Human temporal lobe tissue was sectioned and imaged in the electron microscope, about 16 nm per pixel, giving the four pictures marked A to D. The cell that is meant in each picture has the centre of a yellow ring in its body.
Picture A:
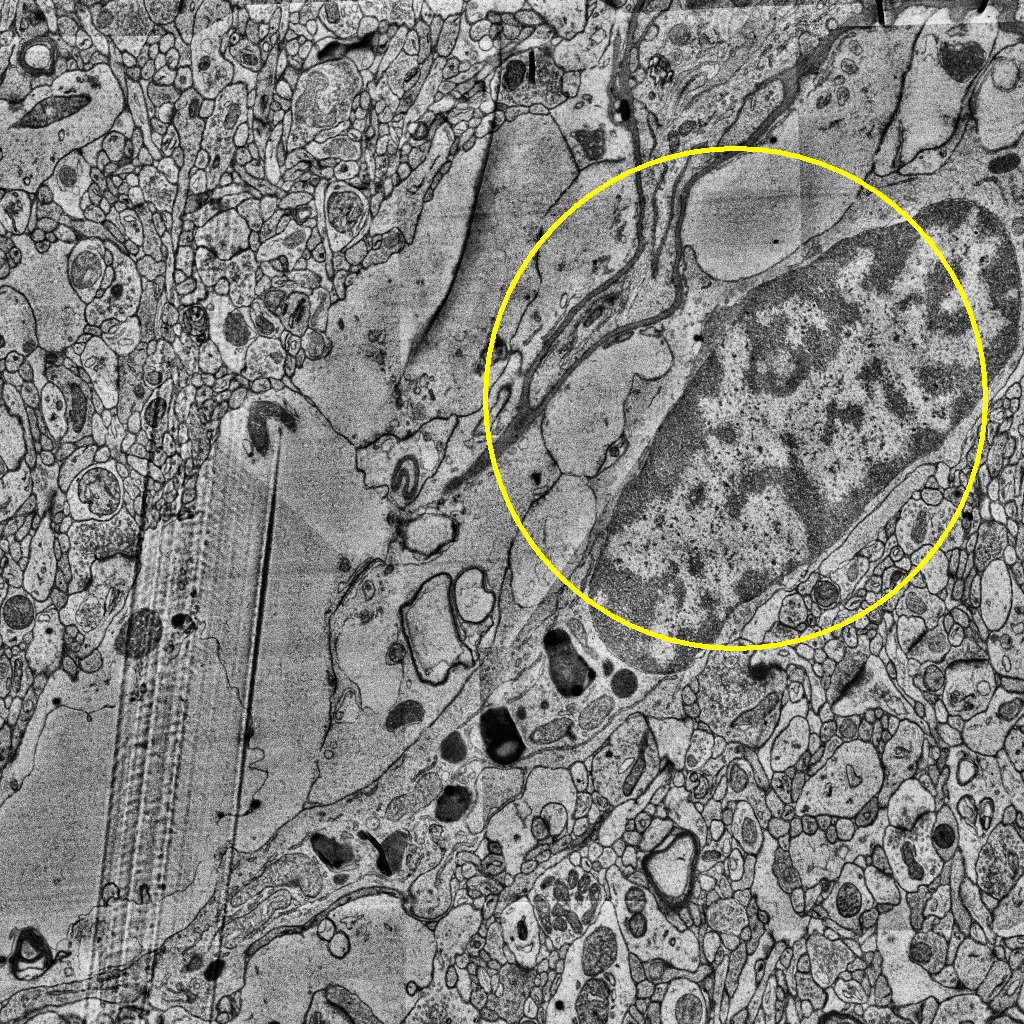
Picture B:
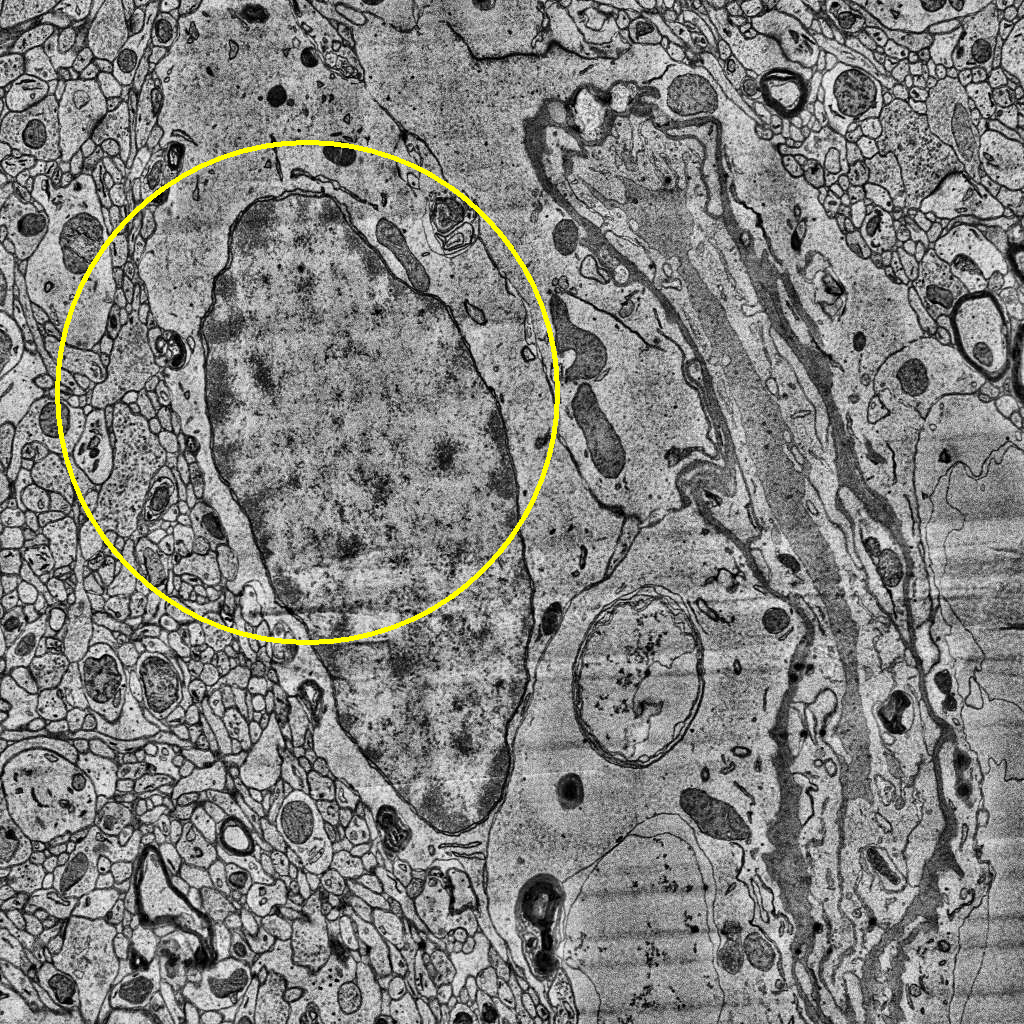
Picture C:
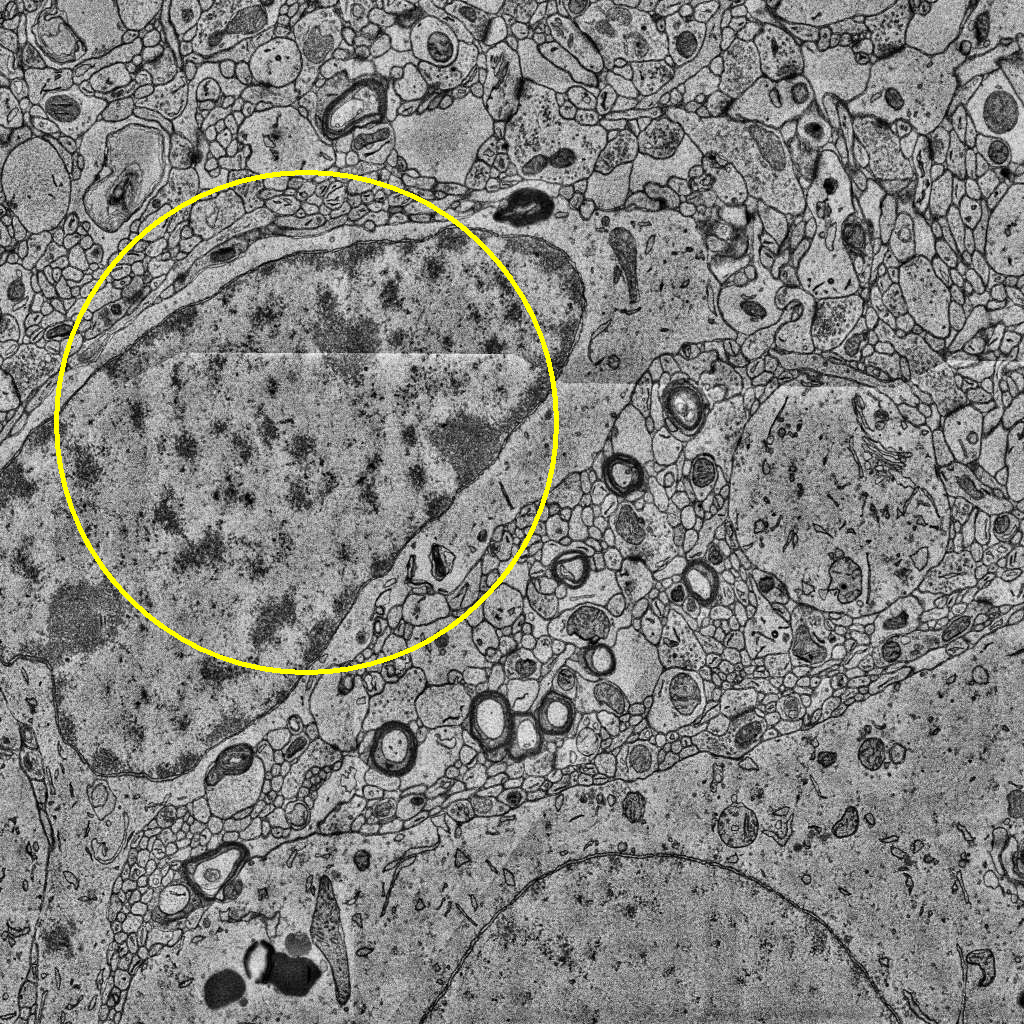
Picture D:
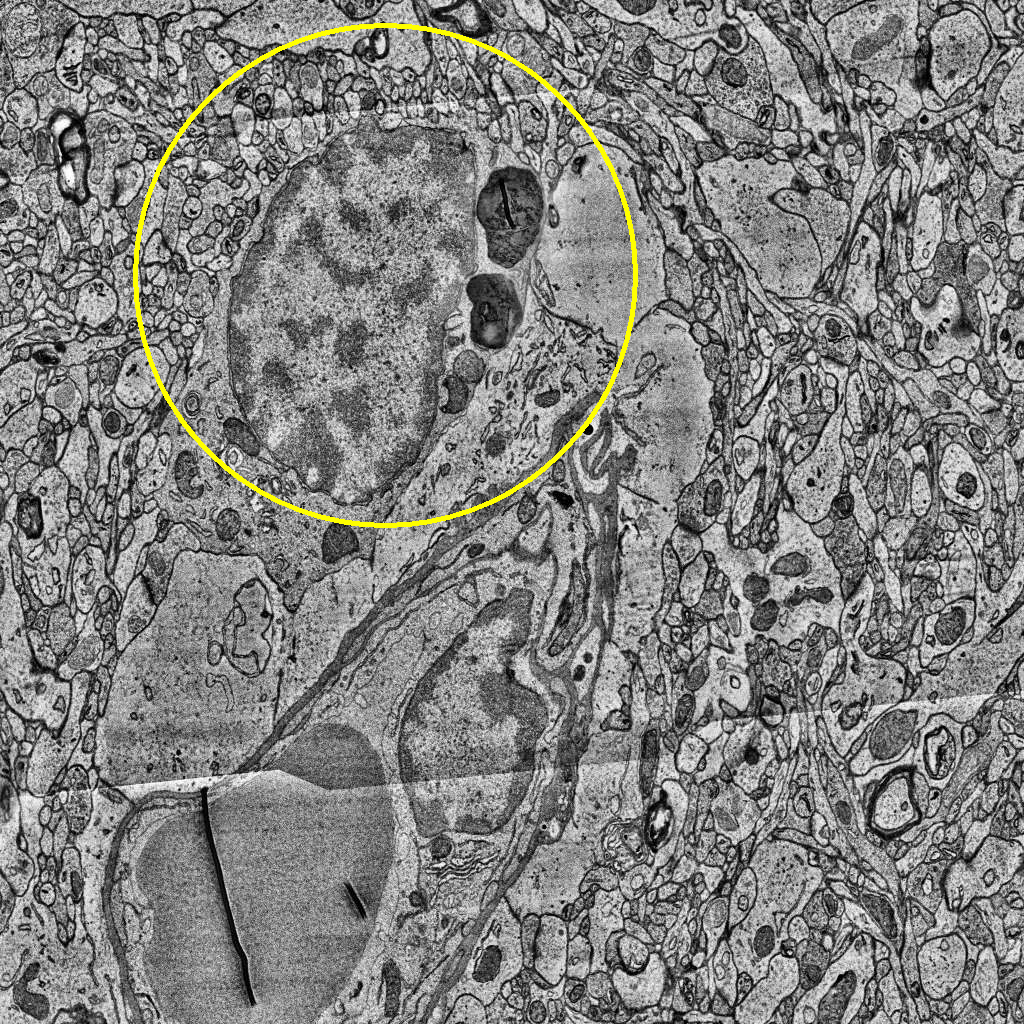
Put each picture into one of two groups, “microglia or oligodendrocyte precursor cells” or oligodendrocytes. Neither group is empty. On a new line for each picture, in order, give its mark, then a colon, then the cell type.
A: microglia or oligodendrocyte precursor cell
B: microglia or oligodendrocyte precursor cell
C: microglia or oligodendrocyte precursor cell
D: oligodendrocyte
